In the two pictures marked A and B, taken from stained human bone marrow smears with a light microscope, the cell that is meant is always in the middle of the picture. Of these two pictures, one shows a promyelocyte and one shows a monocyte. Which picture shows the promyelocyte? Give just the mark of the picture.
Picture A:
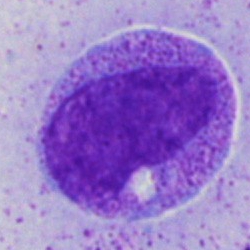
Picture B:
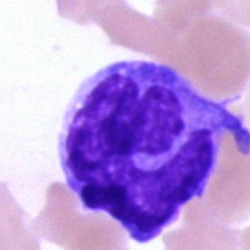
A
